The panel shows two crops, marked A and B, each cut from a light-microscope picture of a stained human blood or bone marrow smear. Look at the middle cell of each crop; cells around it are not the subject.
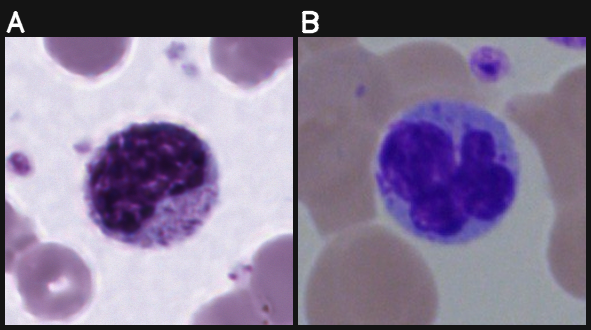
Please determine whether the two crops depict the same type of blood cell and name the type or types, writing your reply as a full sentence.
No, a monocyte is the cell of crop B, while a metamyelocyte is the cell of crop A.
